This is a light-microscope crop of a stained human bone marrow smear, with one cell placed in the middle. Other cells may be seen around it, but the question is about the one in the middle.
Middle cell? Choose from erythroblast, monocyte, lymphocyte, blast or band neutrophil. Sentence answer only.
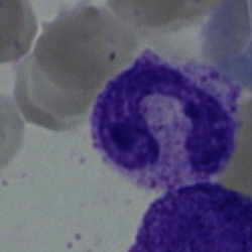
The cell centred in this crop is categorized as a band neutrophil.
